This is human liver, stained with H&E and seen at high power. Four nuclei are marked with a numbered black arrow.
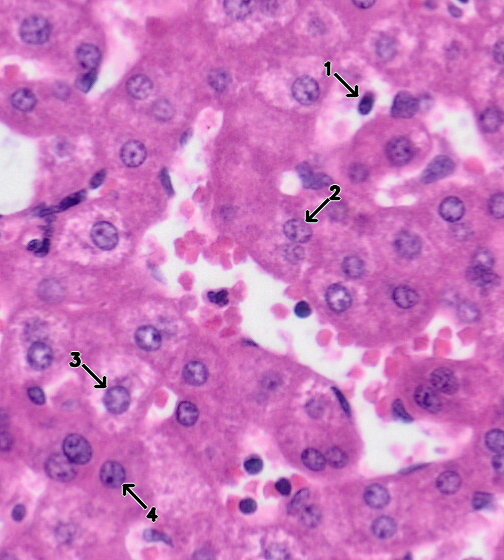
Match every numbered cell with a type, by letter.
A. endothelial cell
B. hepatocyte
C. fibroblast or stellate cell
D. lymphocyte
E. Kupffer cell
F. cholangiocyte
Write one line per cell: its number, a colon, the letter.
1: D
2: B
3: B
4: B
